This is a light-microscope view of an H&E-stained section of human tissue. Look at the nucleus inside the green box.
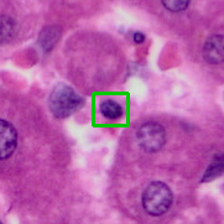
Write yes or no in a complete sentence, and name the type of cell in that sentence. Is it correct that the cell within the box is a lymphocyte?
Yes, a lymphocyte is what the cell within the box is in this section.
